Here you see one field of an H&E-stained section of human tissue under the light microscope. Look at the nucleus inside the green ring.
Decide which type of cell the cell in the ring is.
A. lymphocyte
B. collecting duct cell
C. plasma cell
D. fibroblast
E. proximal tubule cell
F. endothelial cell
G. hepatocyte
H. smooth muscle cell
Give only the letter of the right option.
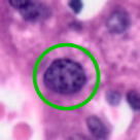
G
